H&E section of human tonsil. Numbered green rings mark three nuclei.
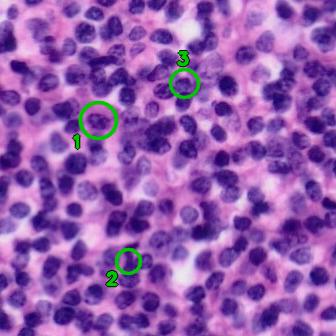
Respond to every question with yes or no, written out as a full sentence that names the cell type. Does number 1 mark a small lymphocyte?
No, the cell given the number 1 is a plasma cell, so not a small lymphocyte.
